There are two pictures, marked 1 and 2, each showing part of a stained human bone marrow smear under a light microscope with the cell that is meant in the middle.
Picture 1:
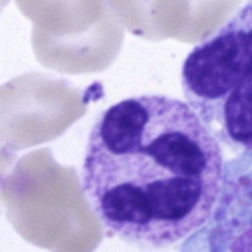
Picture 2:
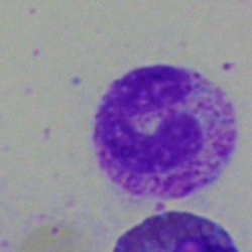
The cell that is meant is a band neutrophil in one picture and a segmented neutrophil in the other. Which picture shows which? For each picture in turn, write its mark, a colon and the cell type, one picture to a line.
1: segmented neutrophil
2: band neutrophil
